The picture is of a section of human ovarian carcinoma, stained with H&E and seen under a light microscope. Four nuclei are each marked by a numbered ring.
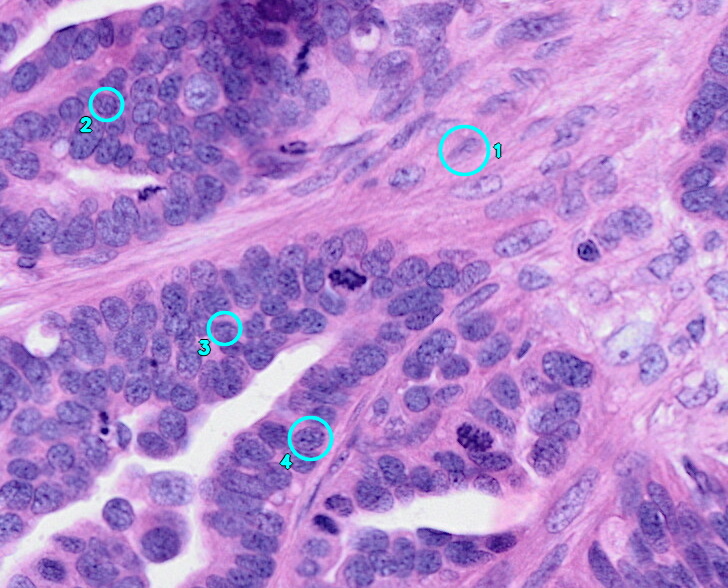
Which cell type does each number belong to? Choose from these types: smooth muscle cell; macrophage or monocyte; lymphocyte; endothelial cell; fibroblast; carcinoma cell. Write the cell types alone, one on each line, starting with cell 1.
fibroblast
carcinoma cell
carcinoma cell
carcinoma cell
